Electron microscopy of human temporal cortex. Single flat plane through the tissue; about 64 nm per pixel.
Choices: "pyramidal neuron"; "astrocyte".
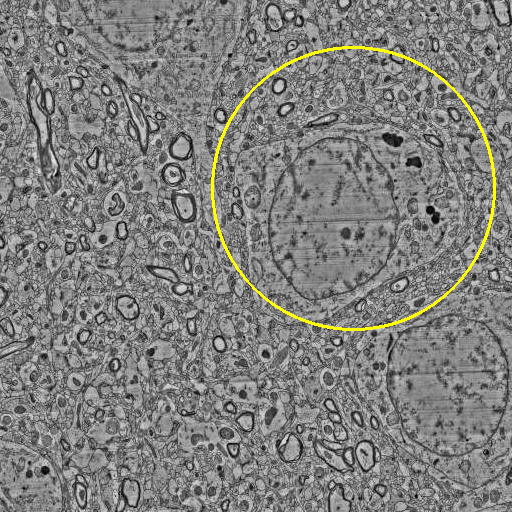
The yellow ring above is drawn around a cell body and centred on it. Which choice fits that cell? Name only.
pyramidal neuron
